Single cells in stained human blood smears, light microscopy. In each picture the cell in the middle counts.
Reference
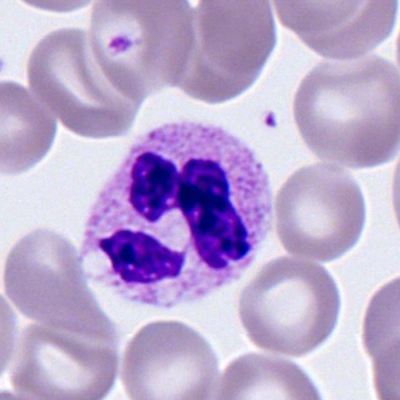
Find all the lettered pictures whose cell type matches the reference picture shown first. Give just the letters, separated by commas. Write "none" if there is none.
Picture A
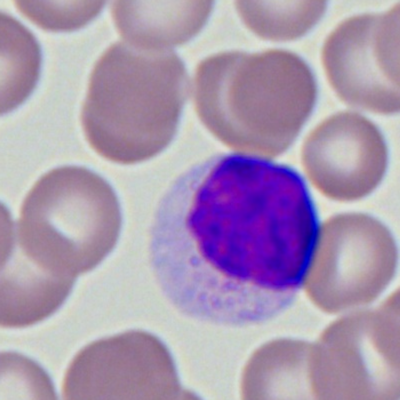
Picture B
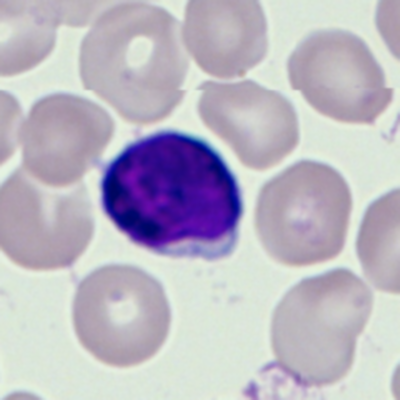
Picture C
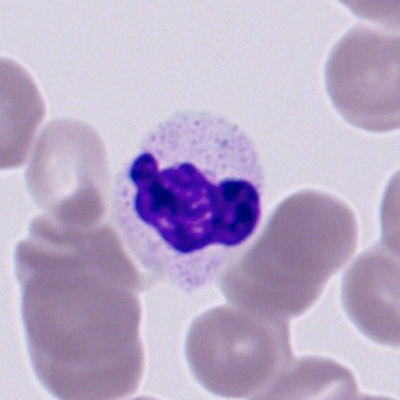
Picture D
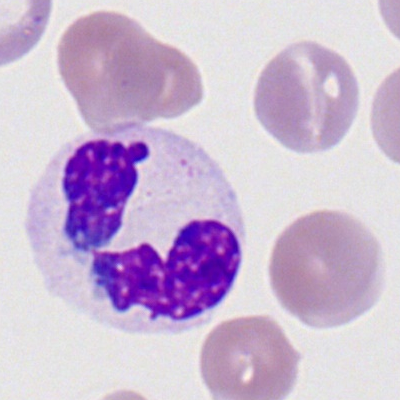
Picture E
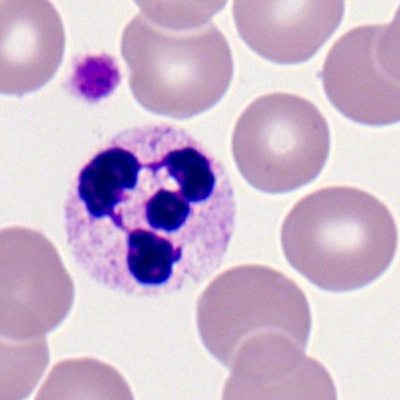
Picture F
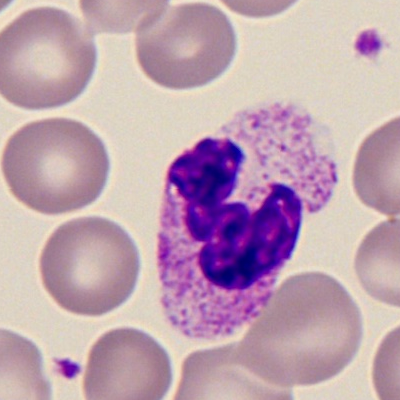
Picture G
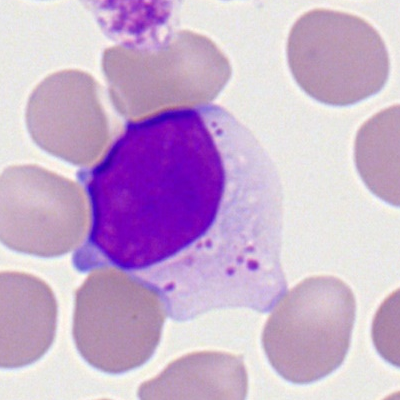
C, D, E, F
